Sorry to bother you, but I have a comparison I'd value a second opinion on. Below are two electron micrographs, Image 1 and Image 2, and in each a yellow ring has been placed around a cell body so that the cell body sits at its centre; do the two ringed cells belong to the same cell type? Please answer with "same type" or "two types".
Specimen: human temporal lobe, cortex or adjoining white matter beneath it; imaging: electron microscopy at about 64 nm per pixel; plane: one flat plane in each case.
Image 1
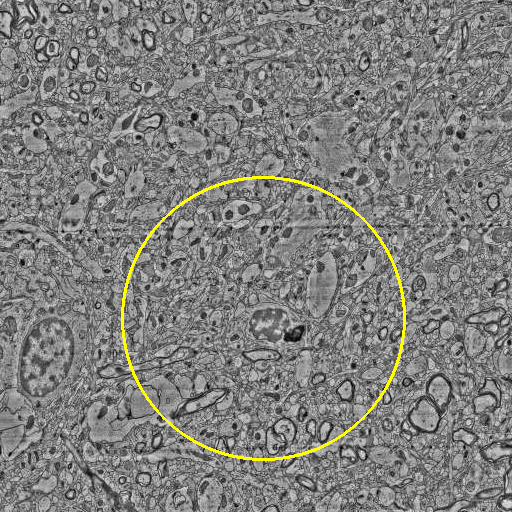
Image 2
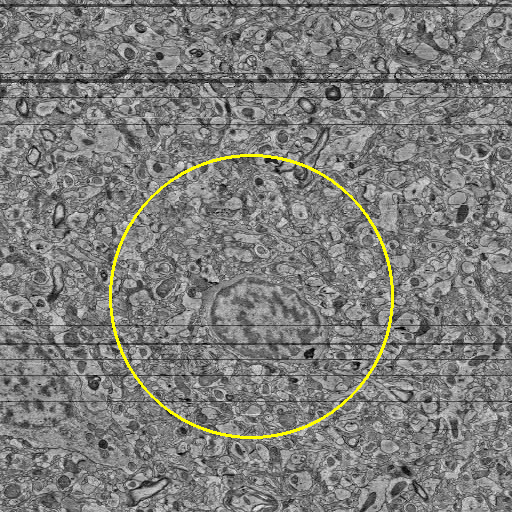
two types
